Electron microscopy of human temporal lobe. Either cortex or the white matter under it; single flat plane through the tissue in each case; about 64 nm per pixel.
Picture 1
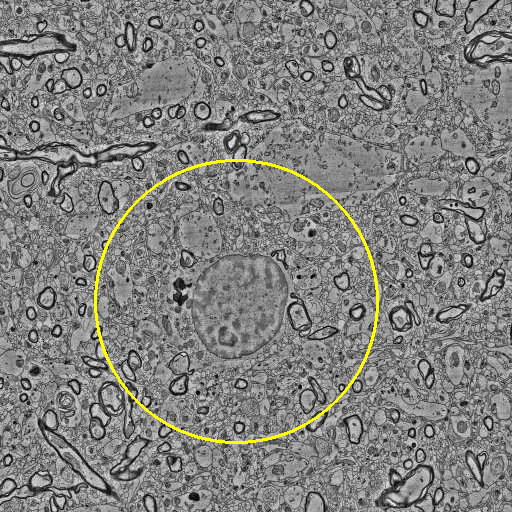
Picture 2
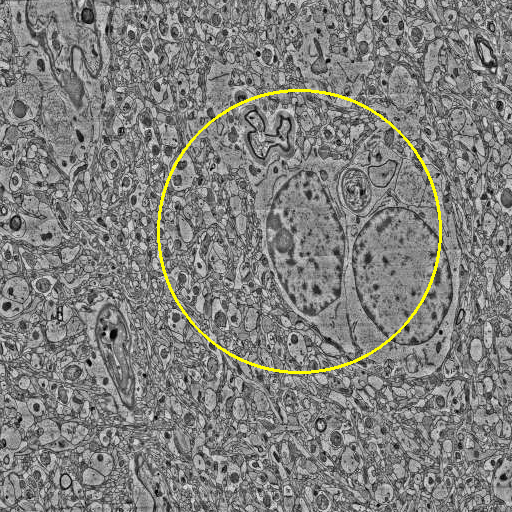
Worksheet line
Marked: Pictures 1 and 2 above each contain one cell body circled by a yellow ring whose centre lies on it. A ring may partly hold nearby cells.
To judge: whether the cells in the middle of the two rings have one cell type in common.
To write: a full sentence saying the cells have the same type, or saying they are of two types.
The cells in the middle of the rings in Picture 1 and Picture 2 are of two types.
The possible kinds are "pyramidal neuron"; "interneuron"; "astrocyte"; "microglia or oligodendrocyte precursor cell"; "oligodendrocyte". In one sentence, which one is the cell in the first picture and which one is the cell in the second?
The cell ringed in the second picture is an astrocyte, whereas the one ringed in the first is an oligodendrocyte.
